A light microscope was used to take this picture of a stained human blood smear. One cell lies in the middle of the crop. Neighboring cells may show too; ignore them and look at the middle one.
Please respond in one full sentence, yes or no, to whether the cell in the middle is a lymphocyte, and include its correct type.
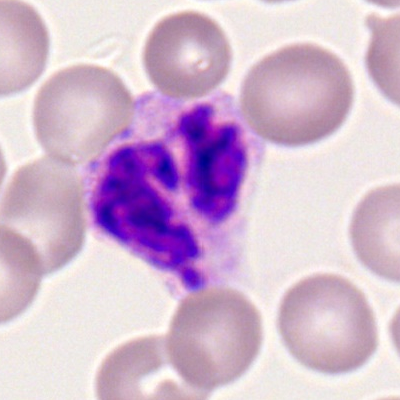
No, the middle one is a basophil rather than a lymphocyte.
